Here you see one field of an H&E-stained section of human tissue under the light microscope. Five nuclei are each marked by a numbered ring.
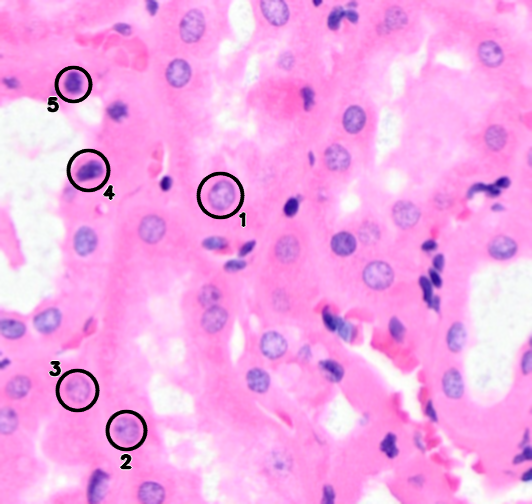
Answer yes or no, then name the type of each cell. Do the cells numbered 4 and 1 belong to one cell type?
No, the right answer is a loop of Henle or distal tubule cell for cell 4 and a proximal tubule cell for cell 1.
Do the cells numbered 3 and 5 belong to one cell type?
No, what is marked as cell 3 is a proximal tubule cell, and what is marked as cell 5 is a loop of Henle or distal tubule cell.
